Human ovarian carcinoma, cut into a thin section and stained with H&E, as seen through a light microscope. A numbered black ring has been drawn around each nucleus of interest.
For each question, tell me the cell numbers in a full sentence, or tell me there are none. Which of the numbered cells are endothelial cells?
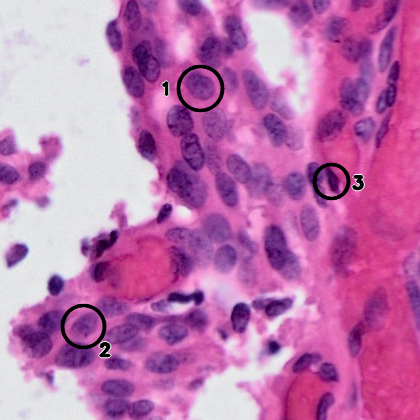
Of the cells marked with numbers, cell 3 is the only one that is an endothelial cell.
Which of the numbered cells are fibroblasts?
No representatives of fibroblasts are found among the numbered cells.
